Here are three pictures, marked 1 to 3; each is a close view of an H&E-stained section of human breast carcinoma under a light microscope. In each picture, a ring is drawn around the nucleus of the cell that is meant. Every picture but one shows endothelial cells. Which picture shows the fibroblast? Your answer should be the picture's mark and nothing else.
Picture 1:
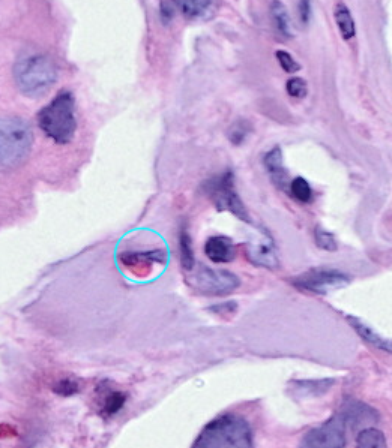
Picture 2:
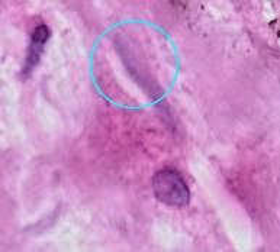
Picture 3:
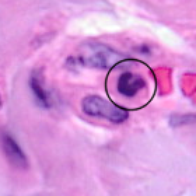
2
